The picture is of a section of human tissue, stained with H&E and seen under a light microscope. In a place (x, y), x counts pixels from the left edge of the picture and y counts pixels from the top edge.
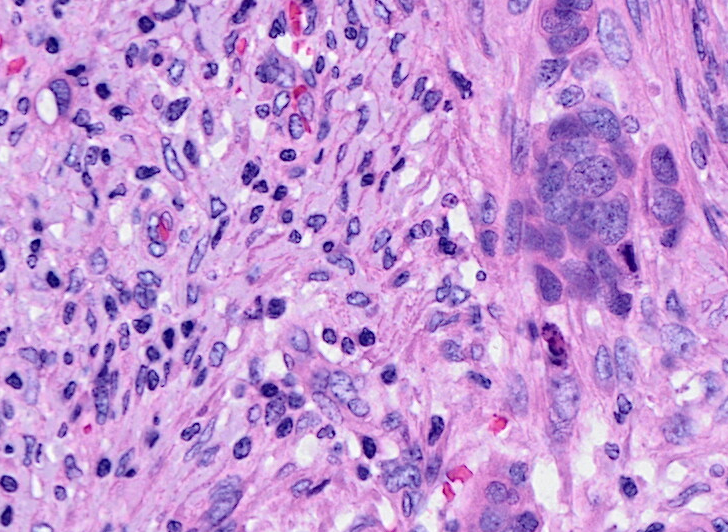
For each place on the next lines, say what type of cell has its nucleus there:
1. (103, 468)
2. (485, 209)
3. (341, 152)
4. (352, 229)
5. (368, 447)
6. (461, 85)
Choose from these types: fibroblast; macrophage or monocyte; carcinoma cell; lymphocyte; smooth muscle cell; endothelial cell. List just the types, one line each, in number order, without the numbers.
lymphocyte
fibroblast
fibroblast
fibroblast
lymphocyte
lymphocyte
